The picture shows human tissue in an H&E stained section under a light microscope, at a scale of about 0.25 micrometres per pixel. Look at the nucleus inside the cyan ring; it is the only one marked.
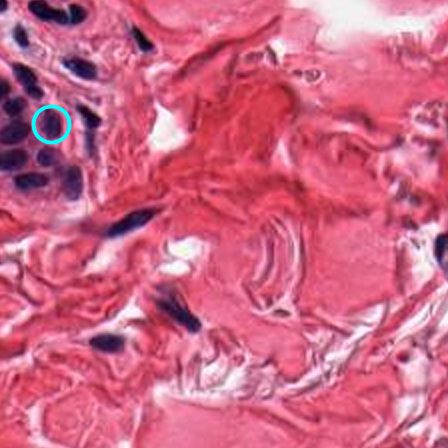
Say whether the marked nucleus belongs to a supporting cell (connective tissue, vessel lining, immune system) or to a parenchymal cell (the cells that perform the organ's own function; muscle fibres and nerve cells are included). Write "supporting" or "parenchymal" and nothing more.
parenchymal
